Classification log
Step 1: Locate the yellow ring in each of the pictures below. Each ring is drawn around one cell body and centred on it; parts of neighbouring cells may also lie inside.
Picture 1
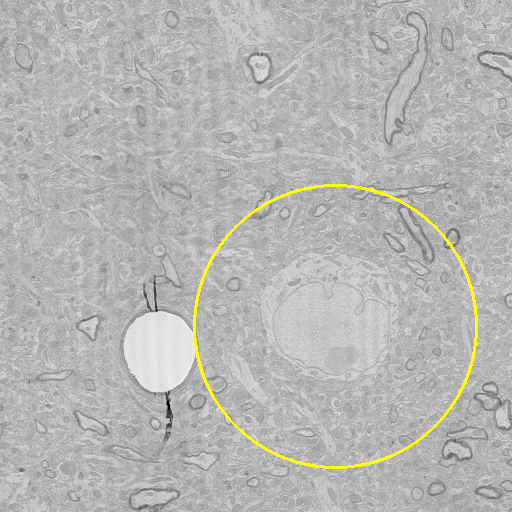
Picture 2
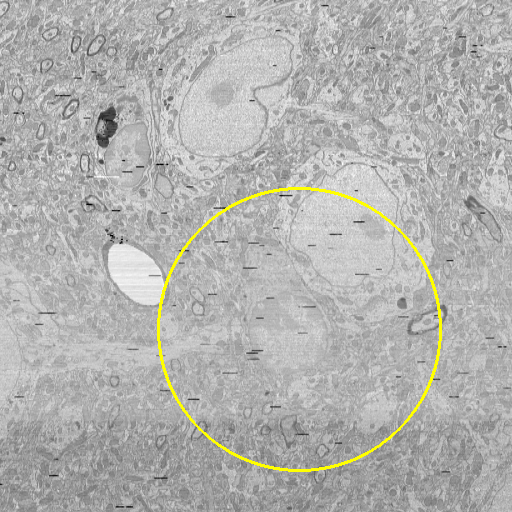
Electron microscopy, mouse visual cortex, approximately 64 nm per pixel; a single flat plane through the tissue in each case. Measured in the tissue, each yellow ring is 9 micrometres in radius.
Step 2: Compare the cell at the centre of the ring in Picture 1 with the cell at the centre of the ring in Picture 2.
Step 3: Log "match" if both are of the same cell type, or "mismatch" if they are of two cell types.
mismatch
